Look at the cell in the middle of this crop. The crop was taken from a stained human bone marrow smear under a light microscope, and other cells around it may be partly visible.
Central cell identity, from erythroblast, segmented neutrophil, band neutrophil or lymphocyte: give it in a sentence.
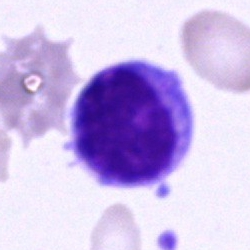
Among the cells in view, the one in the middle is a lymphocyte.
